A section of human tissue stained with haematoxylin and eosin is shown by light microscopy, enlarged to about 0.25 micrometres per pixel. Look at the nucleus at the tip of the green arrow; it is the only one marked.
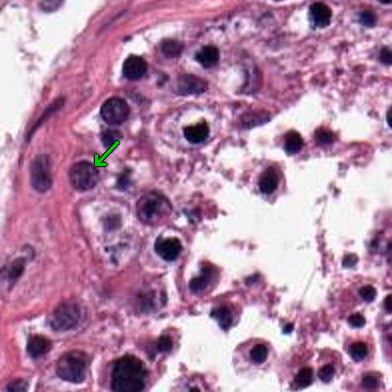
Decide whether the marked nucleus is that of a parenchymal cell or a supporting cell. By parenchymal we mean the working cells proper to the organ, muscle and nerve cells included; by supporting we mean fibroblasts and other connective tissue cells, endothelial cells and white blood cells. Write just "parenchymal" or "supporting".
parenchymal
